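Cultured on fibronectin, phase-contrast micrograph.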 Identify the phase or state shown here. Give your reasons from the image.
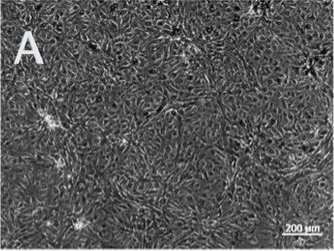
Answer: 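Cells cover the whole field with no gaps between them. Cells lie side by side in a single flat layer. That points to this answer: confluent monolayer.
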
